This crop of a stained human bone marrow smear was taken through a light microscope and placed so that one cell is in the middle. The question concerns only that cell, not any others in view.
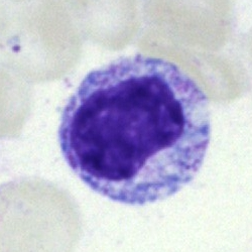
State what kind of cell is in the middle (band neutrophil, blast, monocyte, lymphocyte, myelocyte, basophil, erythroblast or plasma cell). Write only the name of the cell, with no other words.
myelocyte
